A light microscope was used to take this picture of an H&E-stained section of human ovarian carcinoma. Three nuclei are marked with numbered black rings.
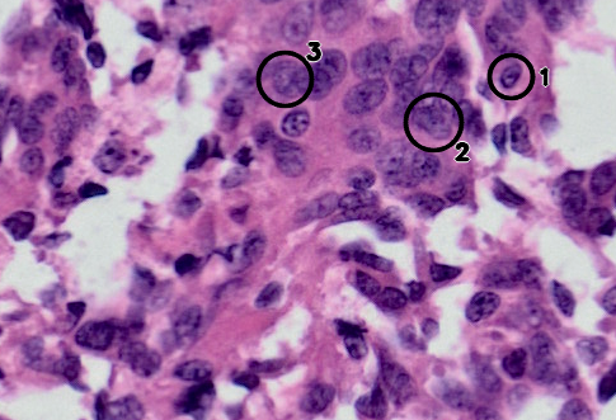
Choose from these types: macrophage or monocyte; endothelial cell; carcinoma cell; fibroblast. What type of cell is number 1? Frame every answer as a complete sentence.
The cell given label 1 is a macrophage or monocyte.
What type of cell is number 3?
The marked cell bearing number 3 is a carcinoma cell.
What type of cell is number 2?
What the number 2 marks in this field is a carcinoma cell.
